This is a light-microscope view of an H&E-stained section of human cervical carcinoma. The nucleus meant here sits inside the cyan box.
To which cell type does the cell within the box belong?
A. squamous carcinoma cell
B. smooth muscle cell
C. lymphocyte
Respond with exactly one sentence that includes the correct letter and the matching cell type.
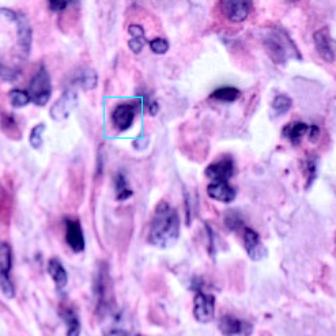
The correct pick is option C; the cell within the box is a lymphocyte.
